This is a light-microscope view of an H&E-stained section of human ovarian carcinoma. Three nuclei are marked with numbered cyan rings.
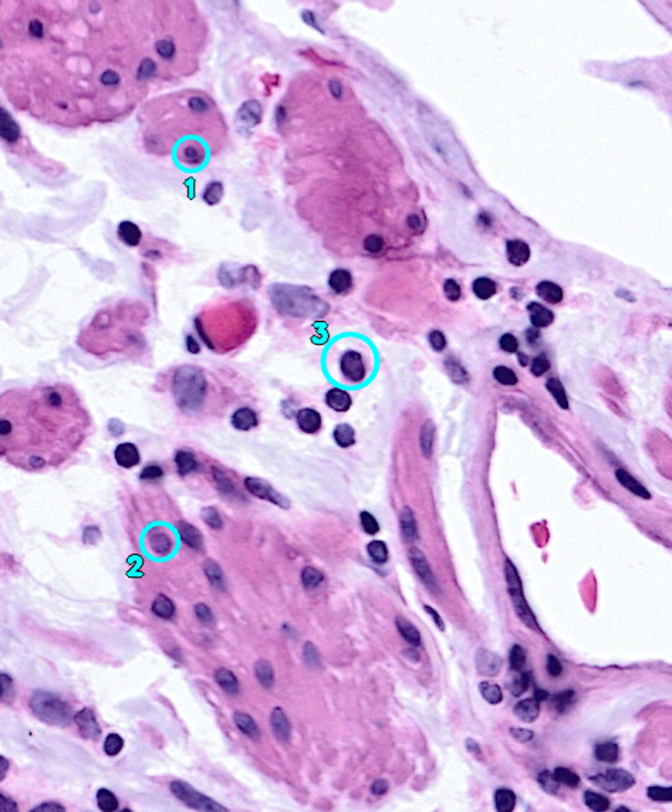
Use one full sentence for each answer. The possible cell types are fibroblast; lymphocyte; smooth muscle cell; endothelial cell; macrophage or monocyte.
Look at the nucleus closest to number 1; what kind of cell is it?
Number 1 lies closest to the nucleus of a lymphocyte.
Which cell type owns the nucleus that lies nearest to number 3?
The nucleus nearest to number 3 is that of a lymphocyte.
